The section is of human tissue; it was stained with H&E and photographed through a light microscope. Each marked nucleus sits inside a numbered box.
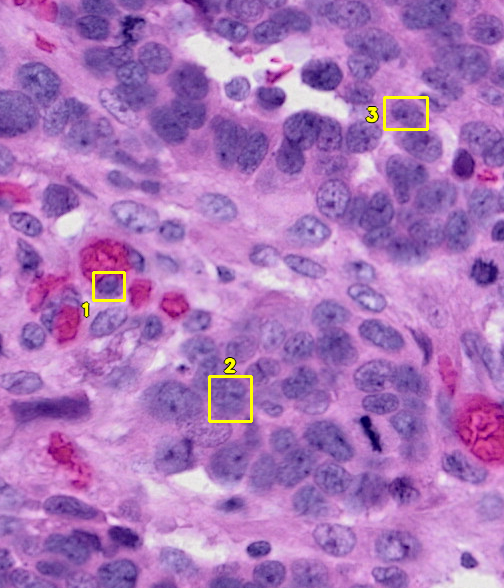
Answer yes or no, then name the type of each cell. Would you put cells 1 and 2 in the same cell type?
No, cell 1 is an endothelial cell and cell 2 is a carcinoma cell.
